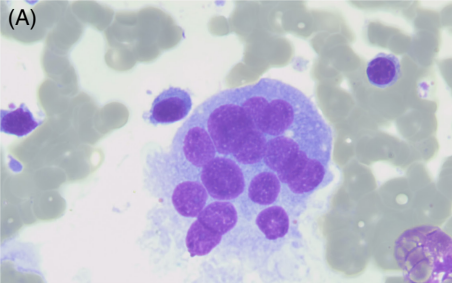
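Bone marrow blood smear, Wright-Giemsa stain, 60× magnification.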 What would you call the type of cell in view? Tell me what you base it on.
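One very large cell many times the size of the surrounding blood cells. More than ten round nuclei crowded within one cell. Blue-grey cytoplasm surrounding the nuclei. The answer: giant plasma cells.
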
